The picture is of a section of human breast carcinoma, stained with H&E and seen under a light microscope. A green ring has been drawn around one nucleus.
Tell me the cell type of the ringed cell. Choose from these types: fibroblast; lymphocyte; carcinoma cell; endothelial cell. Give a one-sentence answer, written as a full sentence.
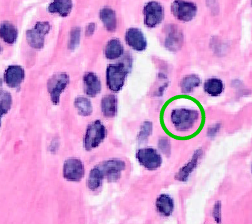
In the tissue under study, the ringed cell is a lymphocyte.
